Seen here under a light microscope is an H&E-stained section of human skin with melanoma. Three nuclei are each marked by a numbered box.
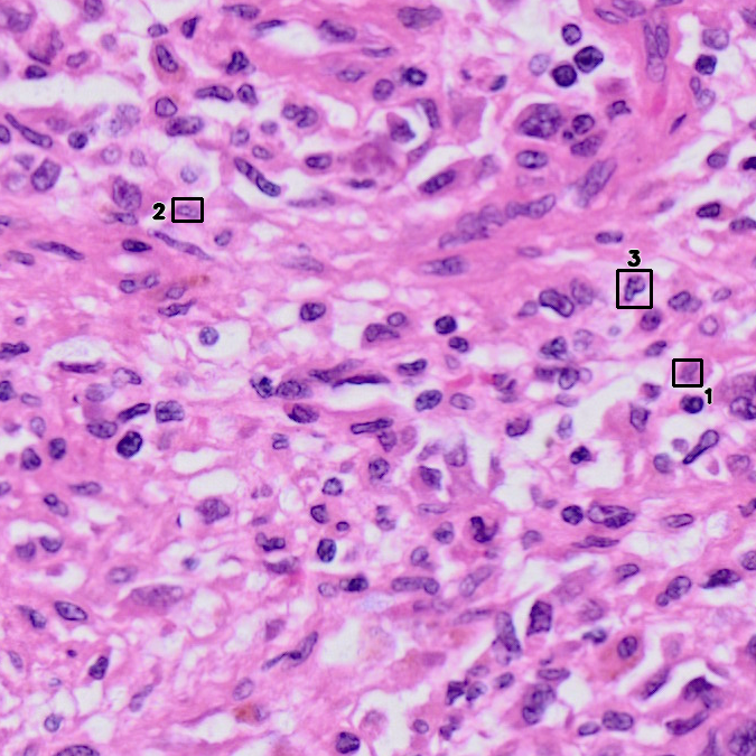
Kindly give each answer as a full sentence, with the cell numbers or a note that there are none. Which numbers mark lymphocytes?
There is just one numbered cell that is a lymphocyte, and it is cell 3.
